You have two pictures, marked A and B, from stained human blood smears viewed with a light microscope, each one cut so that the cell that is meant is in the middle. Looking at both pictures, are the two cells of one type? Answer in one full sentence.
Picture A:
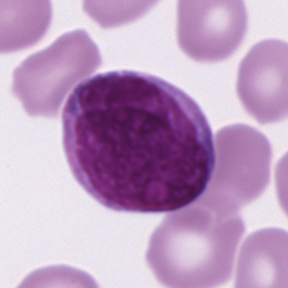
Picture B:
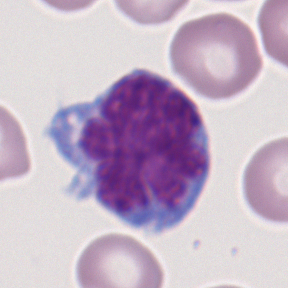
Yes, they are the same type: both are myeloblasts.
